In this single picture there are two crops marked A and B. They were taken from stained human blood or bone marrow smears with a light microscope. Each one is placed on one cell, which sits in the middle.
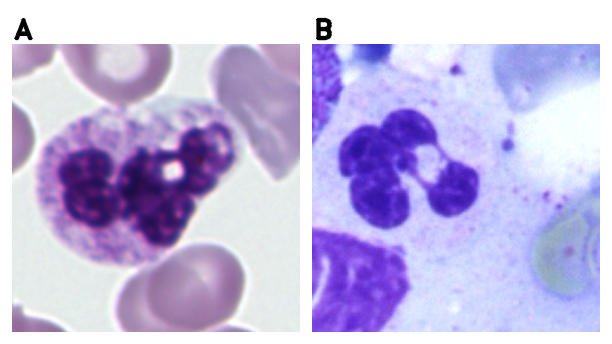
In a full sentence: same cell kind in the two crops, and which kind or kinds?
Yes, the two crops show segmented neutrophils, both of them.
